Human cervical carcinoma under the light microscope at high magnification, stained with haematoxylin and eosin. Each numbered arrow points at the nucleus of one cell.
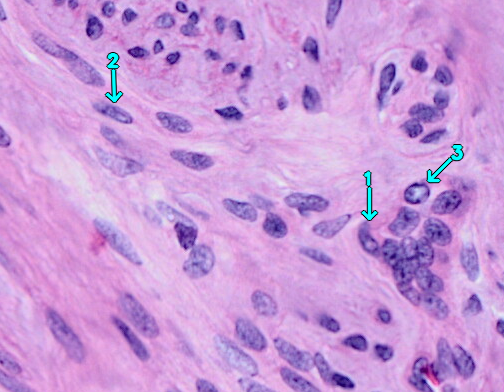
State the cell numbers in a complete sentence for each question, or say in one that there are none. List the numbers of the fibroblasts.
The numbered cells include exactly one that is a fibroblast, which is cell 2.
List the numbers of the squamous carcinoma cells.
In this section, none of the numbered cells are squamous carcinoma cells.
